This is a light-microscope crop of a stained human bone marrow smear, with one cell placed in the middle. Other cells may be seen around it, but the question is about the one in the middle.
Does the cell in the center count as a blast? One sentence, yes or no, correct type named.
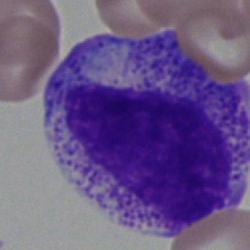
No, the cell at the center of this crop is a myelocyte instead of a blast.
